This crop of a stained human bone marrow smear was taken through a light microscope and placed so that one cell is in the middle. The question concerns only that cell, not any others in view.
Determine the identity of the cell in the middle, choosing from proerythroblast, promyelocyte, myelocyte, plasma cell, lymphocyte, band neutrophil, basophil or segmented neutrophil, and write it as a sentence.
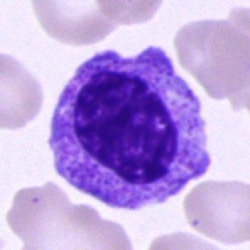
Seen at the centre of the crop is a myelocyte.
